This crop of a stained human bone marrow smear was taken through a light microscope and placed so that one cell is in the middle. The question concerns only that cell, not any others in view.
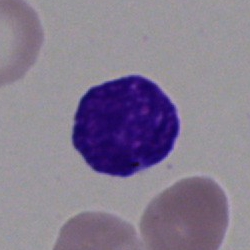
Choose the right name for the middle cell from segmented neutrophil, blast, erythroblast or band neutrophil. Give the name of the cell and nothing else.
blast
